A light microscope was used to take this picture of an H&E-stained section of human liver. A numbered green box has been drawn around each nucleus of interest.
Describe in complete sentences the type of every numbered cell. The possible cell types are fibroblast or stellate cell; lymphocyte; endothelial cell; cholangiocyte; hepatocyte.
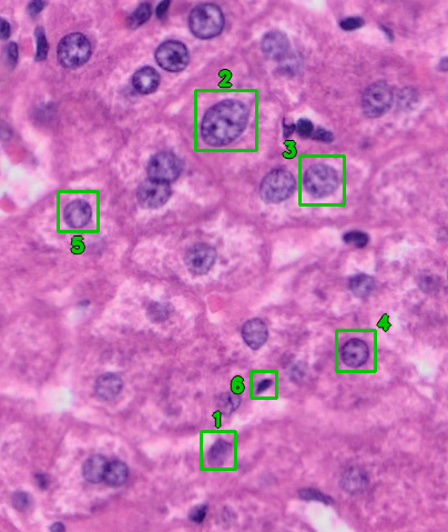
Cell 1 is an endothelial cell. Cells 2, 3, 4 and 5 are hepatocytes. Cell 6 is a fibroblast or stellate cell.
